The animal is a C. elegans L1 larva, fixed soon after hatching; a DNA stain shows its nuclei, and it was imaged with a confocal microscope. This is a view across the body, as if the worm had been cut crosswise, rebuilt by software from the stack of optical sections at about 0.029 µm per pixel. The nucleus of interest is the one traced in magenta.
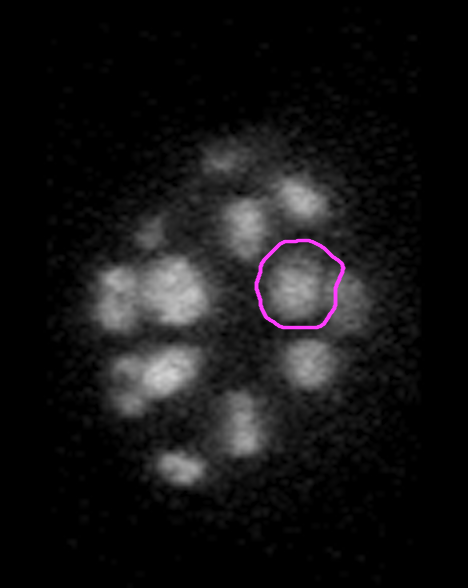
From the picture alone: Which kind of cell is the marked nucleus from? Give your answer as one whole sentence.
This is the nucleus of a pharyngeal muscle cell.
